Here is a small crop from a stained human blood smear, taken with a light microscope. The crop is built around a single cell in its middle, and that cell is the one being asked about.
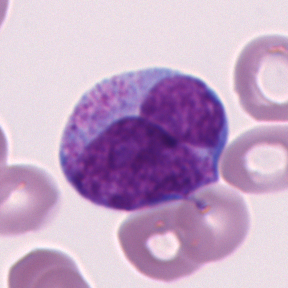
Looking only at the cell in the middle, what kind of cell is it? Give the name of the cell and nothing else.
atypical promyelocyte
